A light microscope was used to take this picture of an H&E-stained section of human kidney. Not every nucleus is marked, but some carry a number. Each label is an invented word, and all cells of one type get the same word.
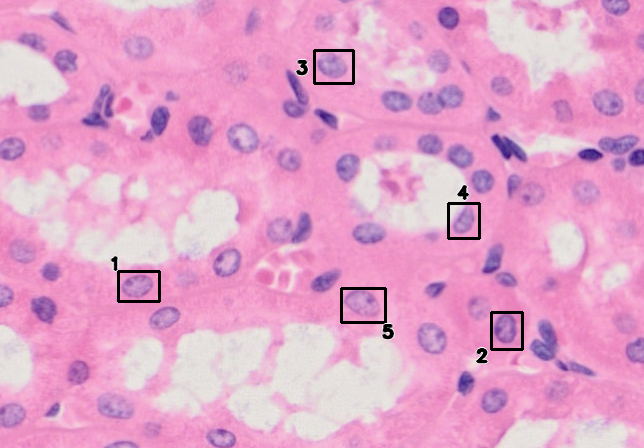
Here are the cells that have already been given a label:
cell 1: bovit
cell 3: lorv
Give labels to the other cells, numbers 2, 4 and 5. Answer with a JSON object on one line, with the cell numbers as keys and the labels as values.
{"2": "bovit", "4": "lorv", "5": "bovit"}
